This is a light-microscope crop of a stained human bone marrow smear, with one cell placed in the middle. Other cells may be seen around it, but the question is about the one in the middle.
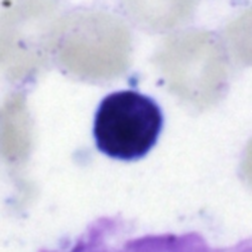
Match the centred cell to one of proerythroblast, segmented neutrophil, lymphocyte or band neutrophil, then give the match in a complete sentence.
In the centre of this crop there is a lymphocyte.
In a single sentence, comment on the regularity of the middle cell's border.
Happy to help: the outline is smooth and shows no projections.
